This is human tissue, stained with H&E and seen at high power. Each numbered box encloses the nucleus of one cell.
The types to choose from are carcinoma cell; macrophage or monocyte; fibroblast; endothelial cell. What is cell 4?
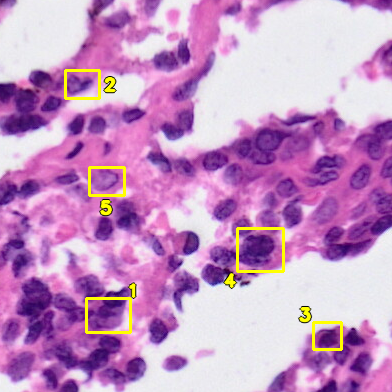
carcinoma cell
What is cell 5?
endothelial cell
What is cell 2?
macrophage or monocyte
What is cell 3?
carcinoma cell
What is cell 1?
carcinoma cell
